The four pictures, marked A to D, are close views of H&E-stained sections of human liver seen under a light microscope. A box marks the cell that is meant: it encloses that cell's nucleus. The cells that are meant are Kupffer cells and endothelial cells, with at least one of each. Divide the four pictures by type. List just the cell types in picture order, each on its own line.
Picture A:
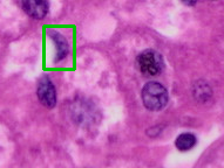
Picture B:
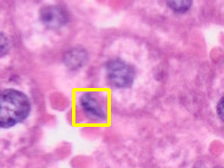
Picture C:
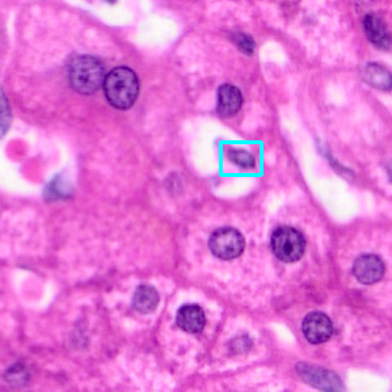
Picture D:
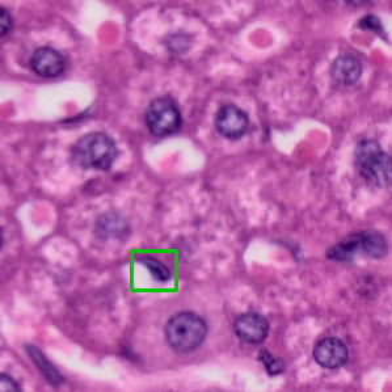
endothelial cell
endothelial cell
Kupffer cell
endothelial cell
